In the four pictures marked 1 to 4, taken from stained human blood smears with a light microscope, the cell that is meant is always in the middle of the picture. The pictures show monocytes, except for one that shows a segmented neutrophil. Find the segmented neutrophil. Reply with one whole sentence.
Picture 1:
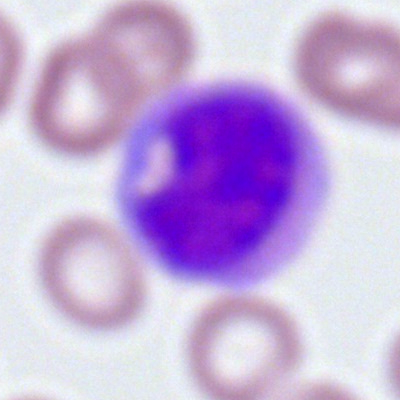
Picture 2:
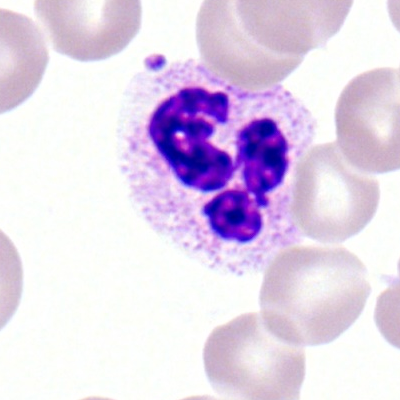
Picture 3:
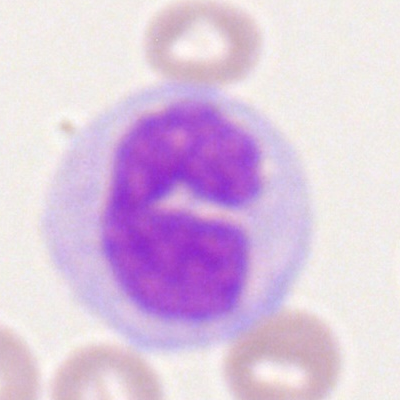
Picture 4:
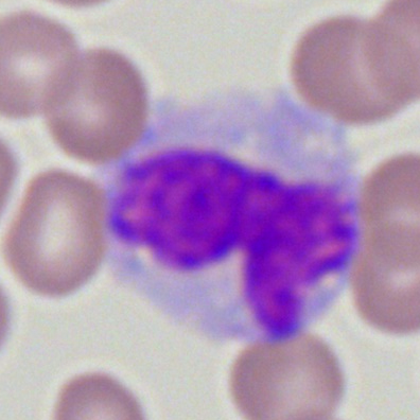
The segmented neutrophil is the one in picture 2.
